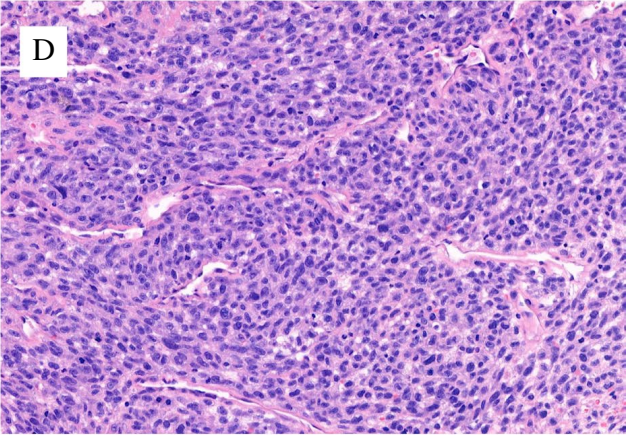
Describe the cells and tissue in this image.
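This is a solid sheet of tumour cells with no recognisable differentiation, packed closely with little cytoplasm around dark purple oval to spindled nuclei of varying size. Numerous thin-walled, slit-like vessels course through the sheet, giving it a rich vascular network.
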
